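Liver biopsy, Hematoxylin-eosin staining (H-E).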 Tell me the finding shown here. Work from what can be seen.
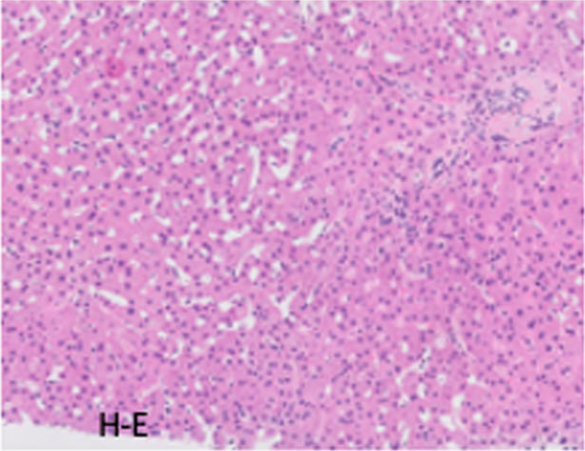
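Many widened pale clear spaces run between the hepatocyte cords.
Answer: dilatation of sinusoidal space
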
